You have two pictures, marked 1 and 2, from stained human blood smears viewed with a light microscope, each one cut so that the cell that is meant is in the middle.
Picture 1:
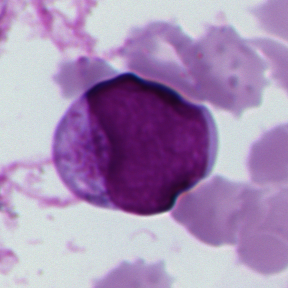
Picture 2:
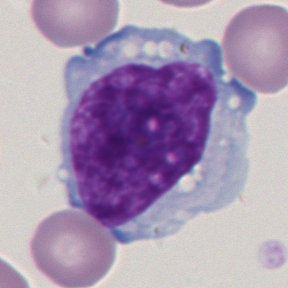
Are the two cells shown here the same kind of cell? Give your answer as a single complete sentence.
Yes, both cells are myeloblasts.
